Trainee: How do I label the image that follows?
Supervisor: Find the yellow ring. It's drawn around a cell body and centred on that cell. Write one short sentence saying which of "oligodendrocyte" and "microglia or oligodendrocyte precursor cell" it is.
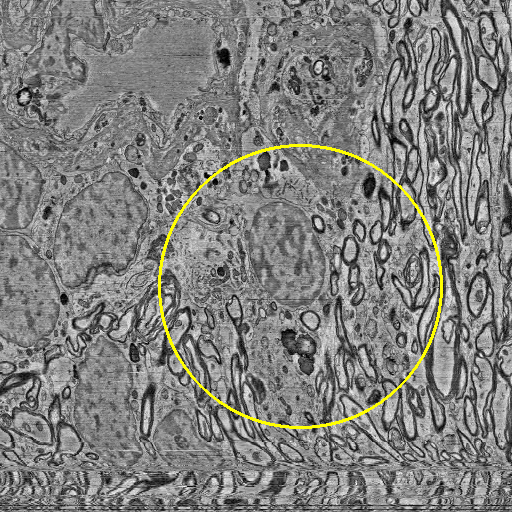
This is the cell body of an oligodendrocyte.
